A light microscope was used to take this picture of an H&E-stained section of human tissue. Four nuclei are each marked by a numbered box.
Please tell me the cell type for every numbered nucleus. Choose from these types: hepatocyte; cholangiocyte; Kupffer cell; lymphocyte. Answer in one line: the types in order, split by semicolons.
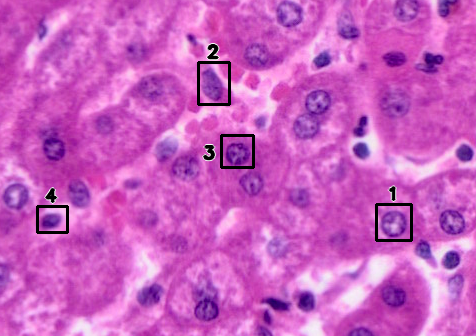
hepatocyte; Kupffer cell; hepatocyte; lymphocyte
